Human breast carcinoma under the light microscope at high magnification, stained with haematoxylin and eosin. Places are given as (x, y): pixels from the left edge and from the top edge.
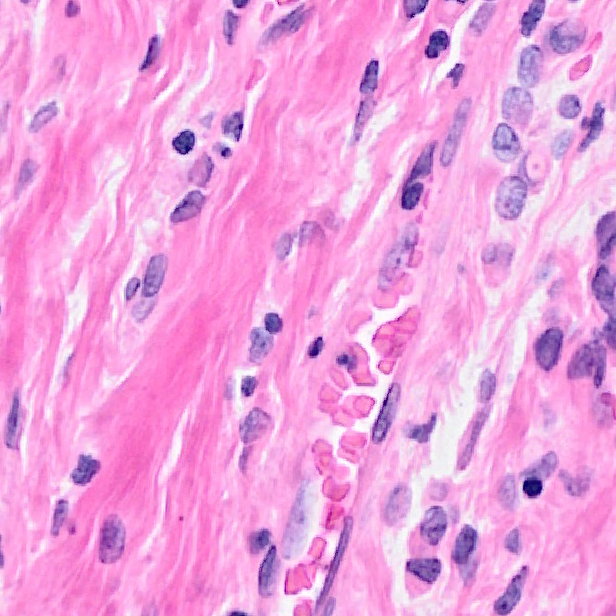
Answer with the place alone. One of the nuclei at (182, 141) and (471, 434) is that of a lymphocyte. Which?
(182, 141)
